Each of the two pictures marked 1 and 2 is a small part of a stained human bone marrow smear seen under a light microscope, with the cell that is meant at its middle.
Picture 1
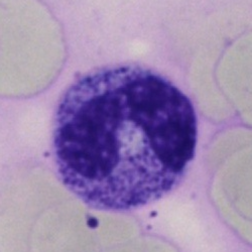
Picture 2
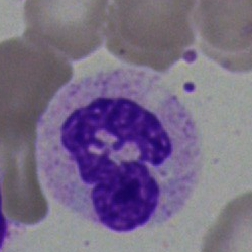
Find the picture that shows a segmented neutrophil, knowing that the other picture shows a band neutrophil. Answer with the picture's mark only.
2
